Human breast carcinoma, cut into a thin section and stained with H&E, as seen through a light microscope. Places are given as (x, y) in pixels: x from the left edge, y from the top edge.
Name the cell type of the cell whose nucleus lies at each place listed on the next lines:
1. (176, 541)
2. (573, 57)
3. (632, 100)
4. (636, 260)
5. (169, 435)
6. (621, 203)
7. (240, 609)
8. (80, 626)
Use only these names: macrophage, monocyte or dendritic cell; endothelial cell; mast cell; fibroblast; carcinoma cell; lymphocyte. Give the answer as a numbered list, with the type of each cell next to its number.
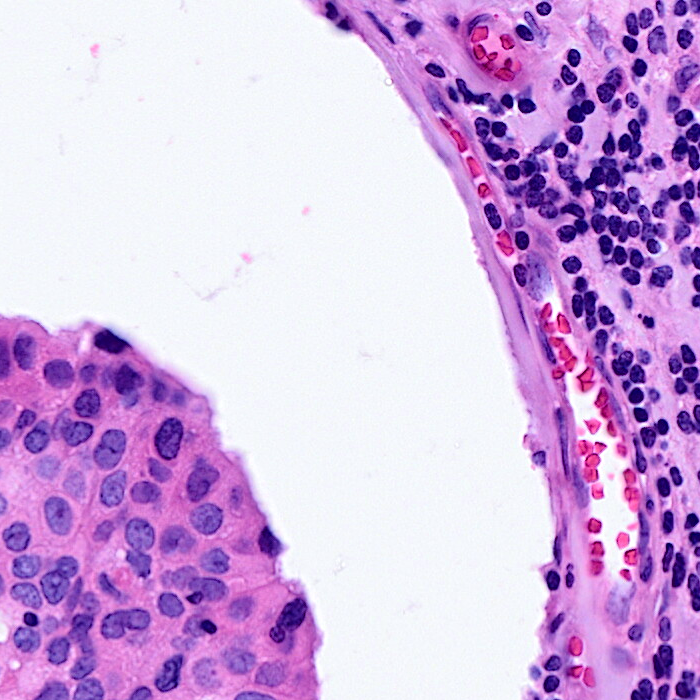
1. carcinoma cell
2. lymphocyte
3. lymphocyte
4. lymphocyte
5. carcinoma cell
6. lymphocyte
7. carcinoma cell
8. carcinoma cell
